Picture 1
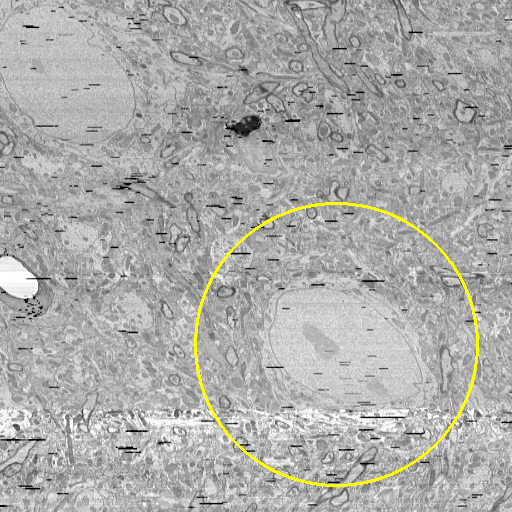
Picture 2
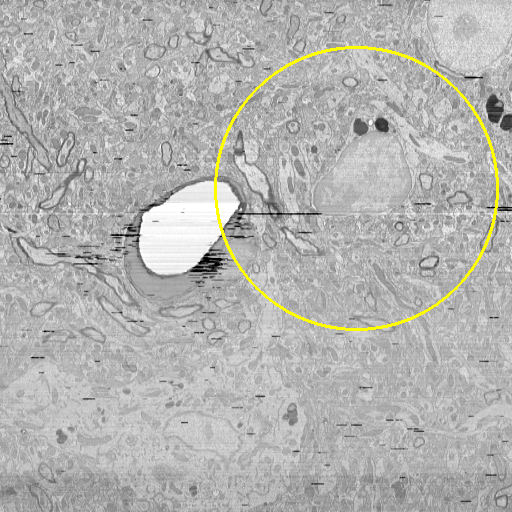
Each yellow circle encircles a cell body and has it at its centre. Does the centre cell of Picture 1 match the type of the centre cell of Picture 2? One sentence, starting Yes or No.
No, the cell centred in Picture 1 and the one in Picture 2 have separate types.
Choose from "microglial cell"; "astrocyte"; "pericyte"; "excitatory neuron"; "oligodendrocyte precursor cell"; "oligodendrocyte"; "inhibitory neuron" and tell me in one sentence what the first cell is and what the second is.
What the first ring is centred on is an excitatory neuron; what the second ring is centred on is a microglial cell.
